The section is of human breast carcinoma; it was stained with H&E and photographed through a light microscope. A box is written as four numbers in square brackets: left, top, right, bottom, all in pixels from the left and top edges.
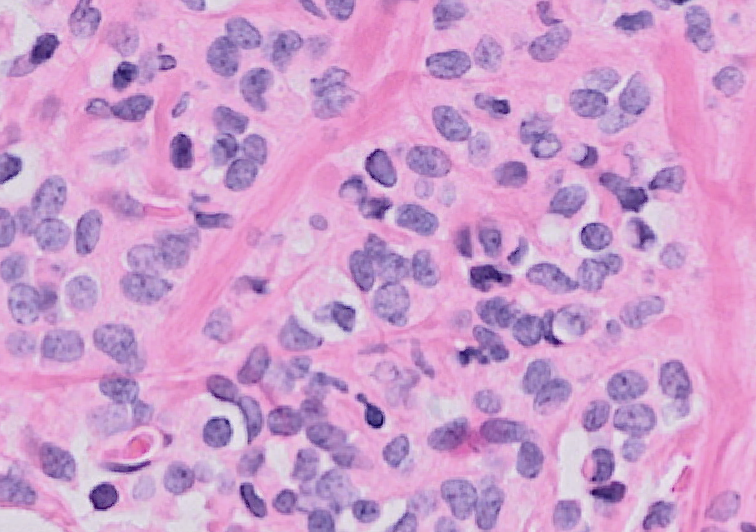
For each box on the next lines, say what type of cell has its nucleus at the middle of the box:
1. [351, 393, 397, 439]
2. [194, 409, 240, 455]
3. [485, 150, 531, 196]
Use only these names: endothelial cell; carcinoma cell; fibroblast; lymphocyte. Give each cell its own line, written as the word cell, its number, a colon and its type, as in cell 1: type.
cell 1: lymphocyte
cell 2: carcinoma cell
cell 3: carcinoma cell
